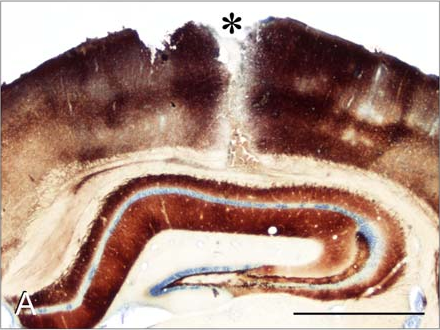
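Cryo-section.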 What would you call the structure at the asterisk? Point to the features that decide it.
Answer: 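Lesion tract. A narrow pale cleft cuts down through the dark-stained upper tissue beneath the asterisk.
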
